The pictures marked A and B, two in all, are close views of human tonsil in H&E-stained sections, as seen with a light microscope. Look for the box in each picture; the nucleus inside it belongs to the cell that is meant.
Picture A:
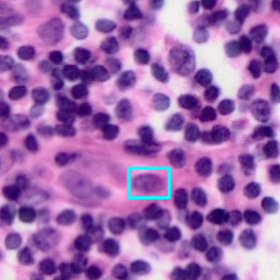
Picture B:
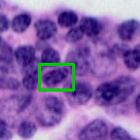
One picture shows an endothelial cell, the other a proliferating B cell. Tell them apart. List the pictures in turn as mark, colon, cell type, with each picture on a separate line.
A: endothelial cell
B: proliferating B cell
